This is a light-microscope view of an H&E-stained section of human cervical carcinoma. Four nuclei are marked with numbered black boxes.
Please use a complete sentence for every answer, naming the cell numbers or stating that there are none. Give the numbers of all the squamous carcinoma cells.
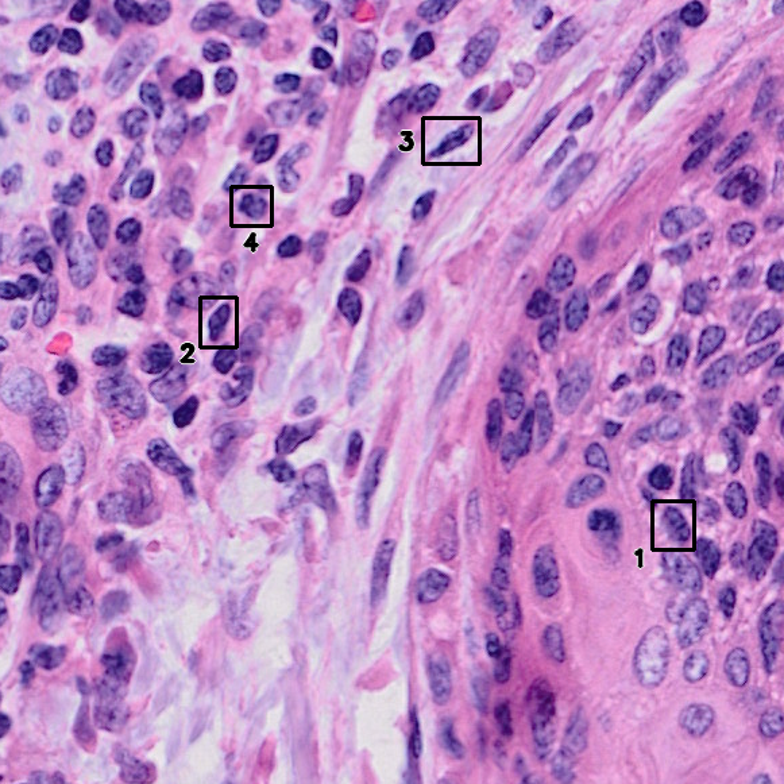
Only the cell with the number 1 is a squamous carcinoma cell.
